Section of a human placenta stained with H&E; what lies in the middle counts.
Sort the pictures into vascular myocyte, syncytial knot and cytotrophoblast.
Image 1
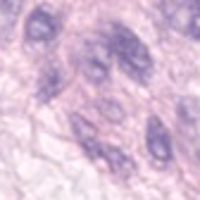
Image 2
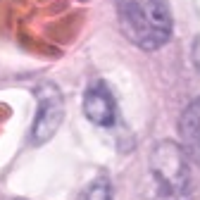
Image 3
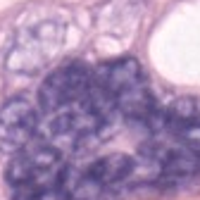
Vascular myocytes: 1
Cytotrophoblasts: 2
Syncytial knots: 3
